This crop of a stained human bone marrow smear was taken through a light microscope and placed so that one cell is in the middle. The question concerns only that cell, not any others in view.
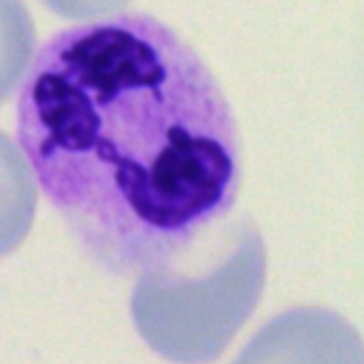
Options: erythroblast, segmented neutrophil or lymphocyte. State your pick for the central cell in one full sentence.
The centered cell in this crop is a segmented neutrophil.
